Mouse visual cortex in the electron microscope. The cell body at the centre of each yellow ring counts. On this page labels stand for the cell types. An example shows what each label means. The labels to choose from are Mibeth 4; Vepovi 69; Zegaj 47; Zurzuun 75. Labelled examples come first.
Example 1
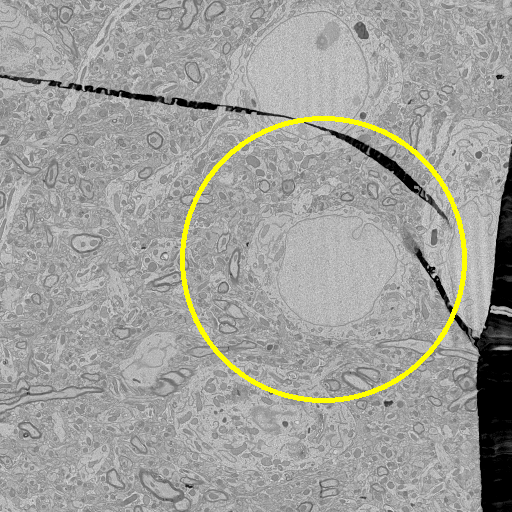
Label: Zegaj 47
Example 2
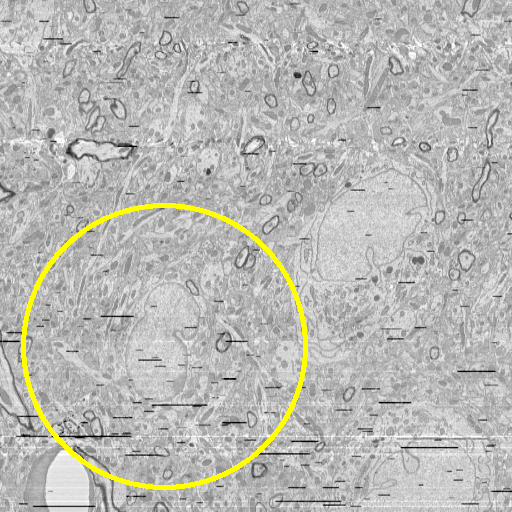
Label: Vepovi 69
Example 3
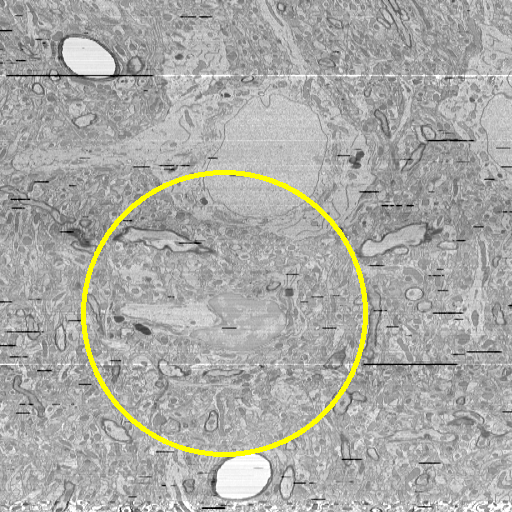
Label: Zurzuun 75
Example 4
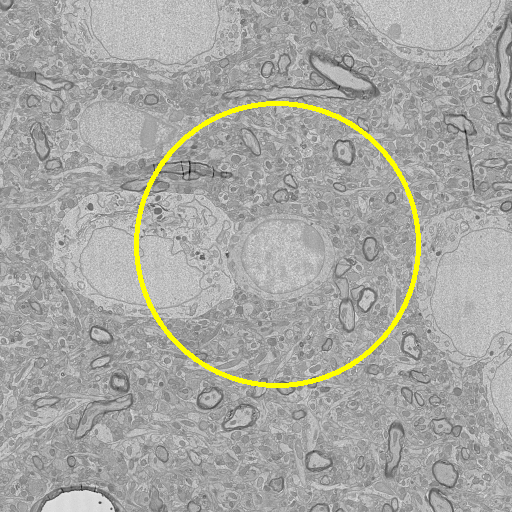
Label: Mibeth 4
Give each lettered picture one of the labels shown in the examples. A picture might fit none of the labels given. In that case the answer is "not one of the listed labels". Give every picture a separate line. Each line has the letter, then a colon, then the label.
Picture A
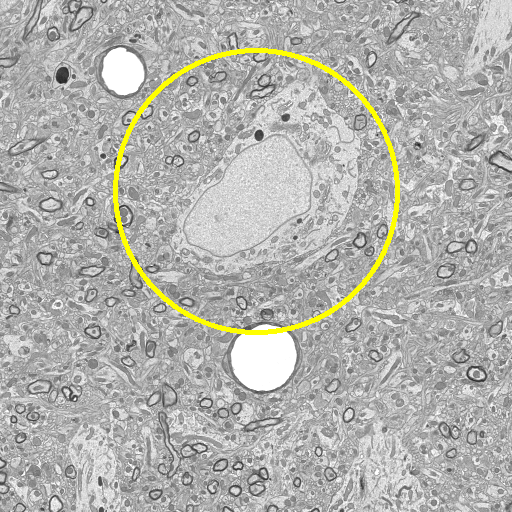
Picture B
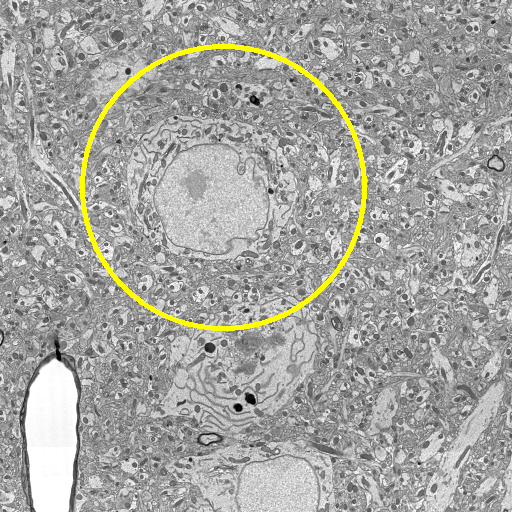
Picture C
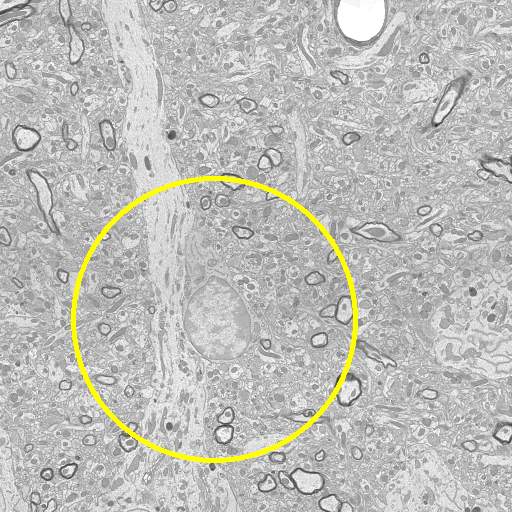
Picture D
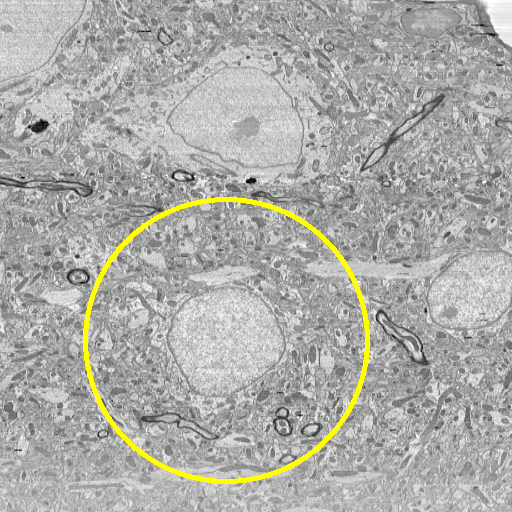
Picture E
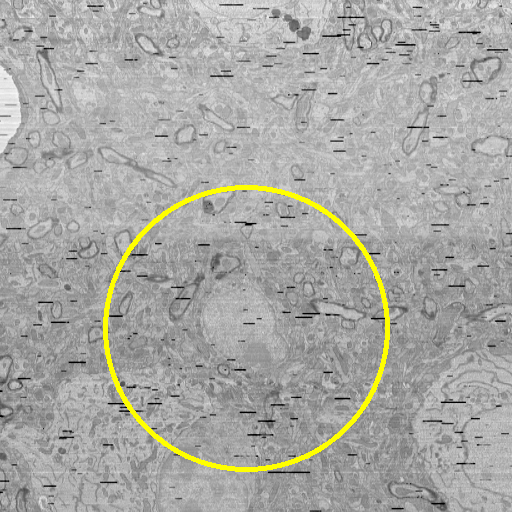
A: Zegaj 47
B: not one of the listed labels
C: Mibeth 4
D: Vepovi 69
E: Vepovi 69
